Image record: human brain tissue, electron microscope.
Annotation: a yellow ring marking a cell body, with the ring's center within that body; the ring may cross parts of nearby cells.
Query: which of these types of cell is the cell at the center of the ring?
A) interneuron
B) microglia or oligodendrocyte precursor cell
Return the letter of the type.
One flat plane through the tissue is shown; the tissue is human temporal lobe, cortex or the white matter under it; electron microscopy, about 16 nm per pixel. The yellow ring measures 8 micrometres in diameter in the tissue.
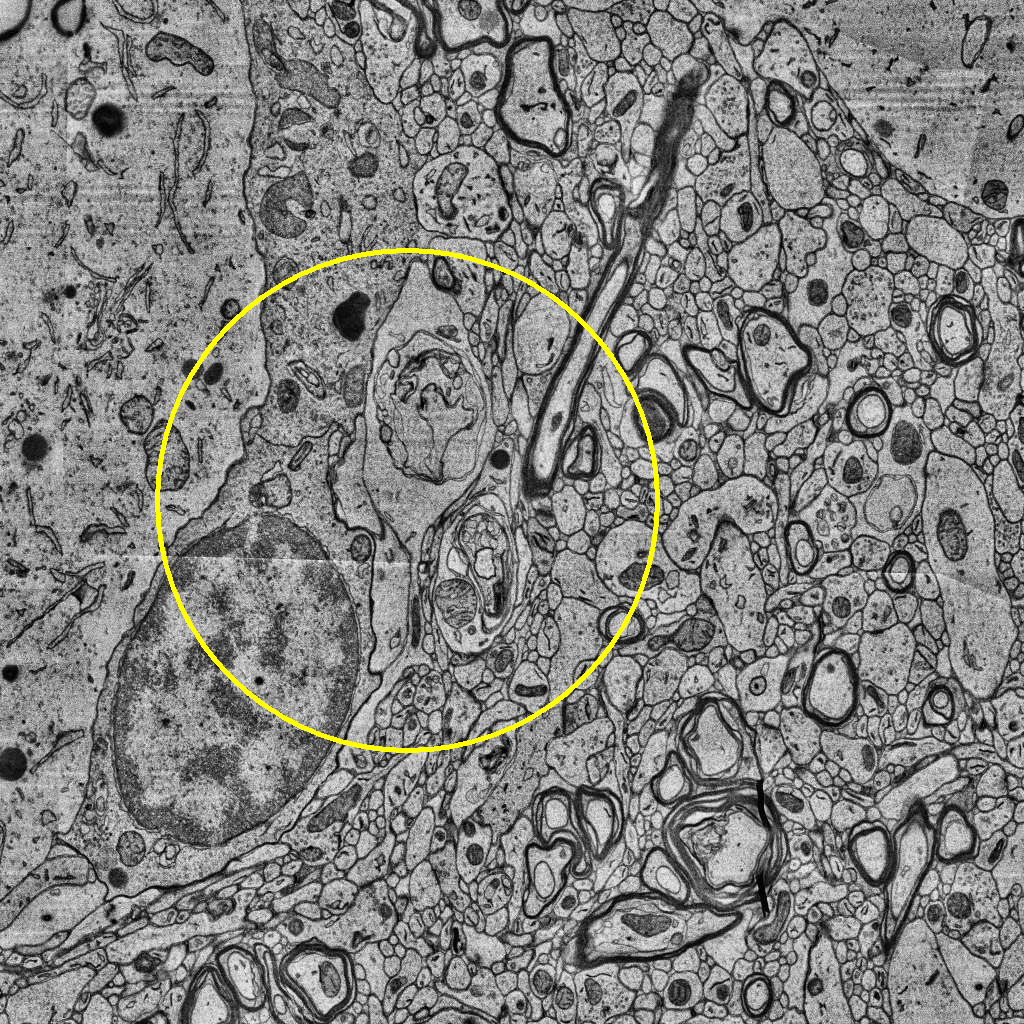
B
